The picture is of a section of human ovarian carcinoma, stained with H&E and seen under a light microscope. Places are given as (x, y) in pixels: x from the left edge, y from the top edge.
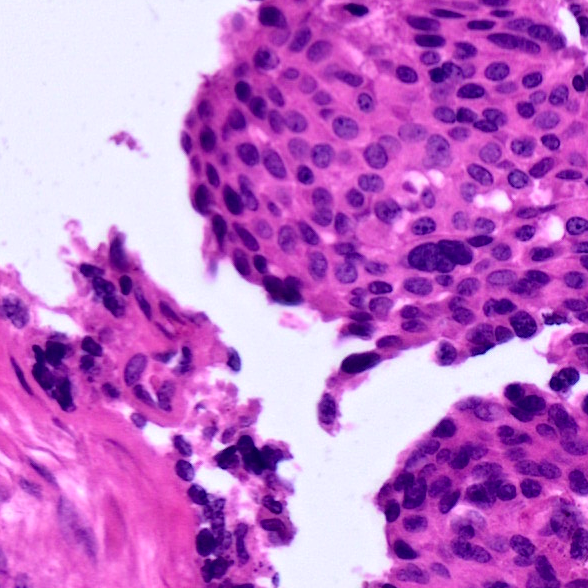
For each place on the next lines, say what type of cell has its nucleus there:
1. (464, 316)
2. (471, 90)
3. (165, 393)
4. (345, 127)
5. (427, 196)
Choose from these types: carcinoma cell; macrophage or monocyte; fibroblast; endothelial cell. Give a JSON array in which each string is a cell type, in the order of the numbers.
["carcinoma cell", "carcinoma cell", "endothelial cell", "carcinoma cell", "macrophage or monocyte"]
